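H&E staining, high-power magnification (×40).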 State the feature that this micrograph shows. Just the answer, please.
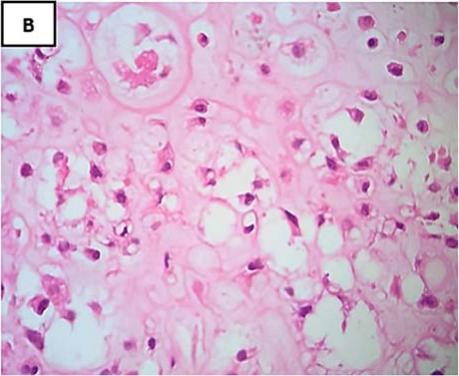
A: Chondroid matrix.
